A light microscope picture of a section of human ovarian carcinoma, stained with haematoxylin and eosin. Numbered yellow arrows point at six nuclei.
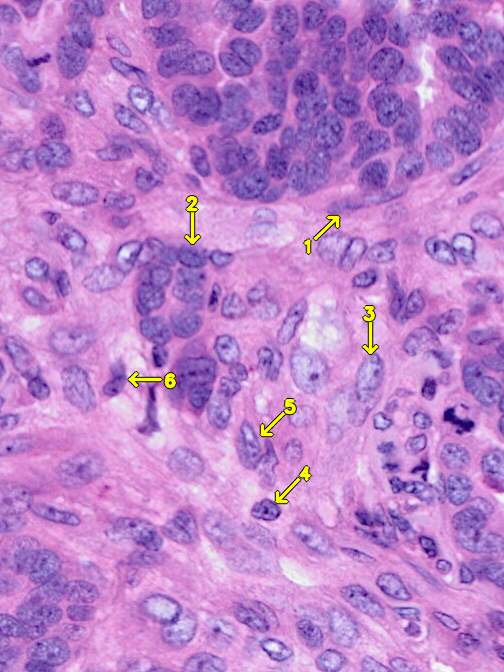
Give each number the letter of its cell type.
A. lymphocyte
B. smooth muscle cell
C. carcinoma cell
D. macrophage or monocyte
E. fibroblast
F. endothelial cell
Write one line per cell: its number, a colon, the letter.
1: E
2: C
3: E
4: A
5: E
6: D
